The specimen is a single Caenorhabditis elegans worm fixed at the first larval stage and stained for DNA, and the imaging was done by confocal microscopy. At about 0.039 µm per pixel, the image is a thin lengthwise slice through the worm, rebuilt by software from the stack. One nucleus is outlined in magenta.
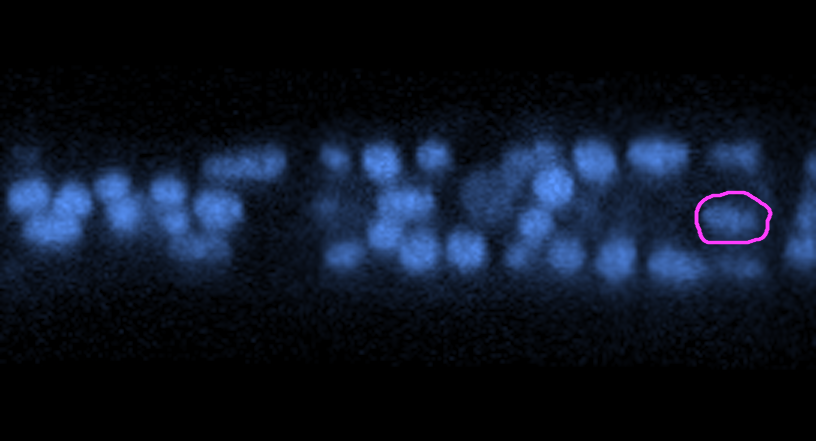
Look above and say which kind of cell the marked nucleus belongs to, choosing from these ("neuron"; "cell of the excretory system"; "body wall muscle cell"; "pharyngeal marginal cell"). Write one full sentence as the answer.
It belongs to a pharyngeal marginal cell.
